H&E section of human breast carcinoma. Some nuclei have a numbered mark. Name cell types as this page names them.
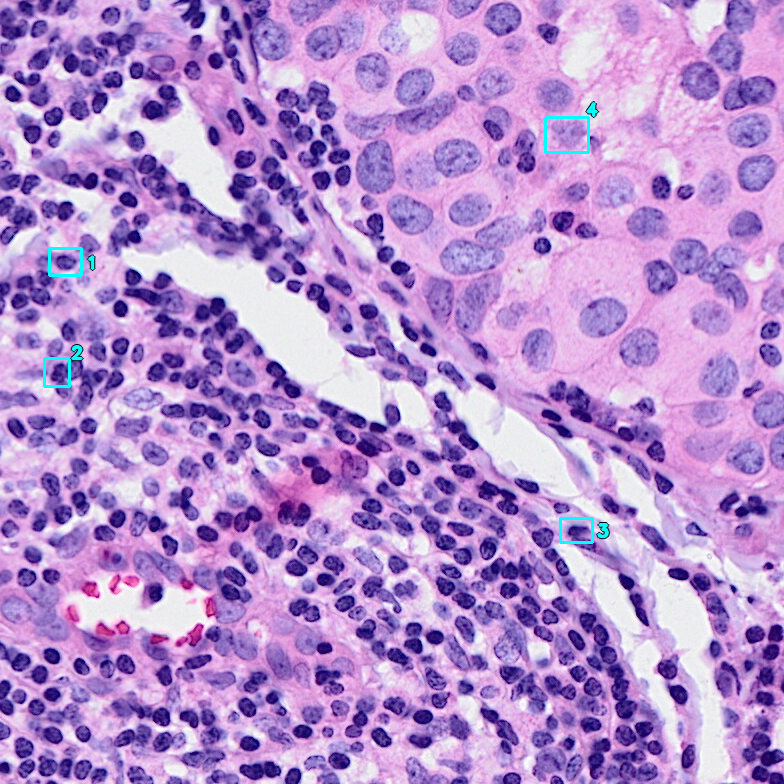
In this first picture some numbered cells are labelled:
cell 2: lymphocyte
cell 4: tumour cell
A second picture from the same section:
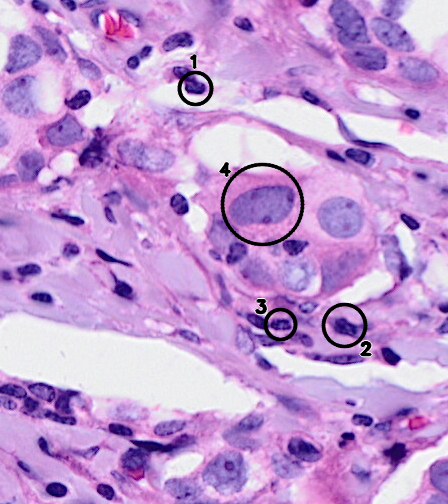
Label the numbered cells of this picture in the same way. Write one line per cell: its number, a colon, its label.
1: lymphocyte
2: lymphocyte
3: lymphocyte
4: tumour cell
